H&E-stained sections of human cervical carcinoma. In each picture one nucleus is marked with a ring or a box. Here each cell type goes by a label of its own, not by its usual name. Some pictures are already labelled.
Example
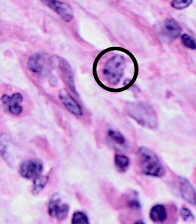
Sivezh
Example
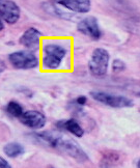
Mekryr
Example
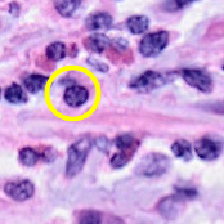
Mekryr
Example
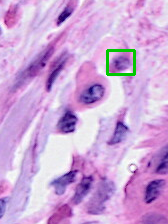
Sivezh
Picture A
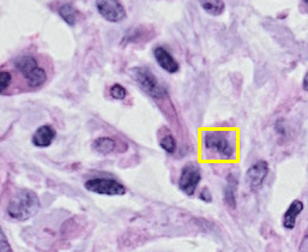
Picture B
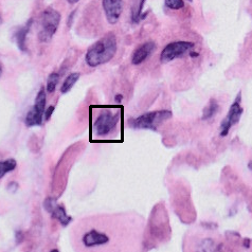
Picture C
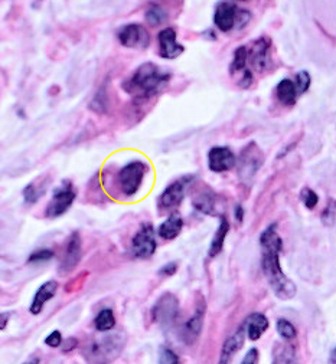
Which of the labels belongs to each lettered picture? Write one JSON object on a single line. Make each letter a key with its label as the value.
{"A": "Sivezh", "B": "Sivezh", "C": "Mekryr"}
